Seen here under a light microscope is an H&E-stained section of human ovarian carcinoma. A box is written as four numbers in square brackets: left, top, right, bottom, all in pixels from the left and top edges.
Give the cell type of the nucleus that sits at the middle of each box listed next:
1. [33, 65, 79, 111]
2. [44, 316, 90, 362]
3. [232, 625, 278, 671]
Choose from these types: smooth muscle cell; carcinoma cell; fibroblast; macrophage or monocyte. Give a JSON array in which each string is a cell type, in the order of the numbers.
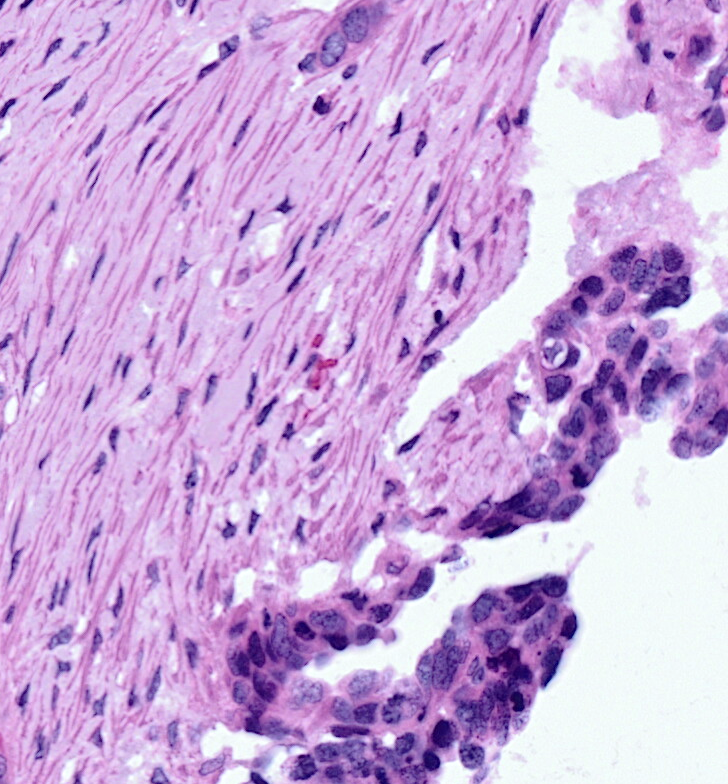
["fibroblast", "fibroblast", "carcinoma cell"]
